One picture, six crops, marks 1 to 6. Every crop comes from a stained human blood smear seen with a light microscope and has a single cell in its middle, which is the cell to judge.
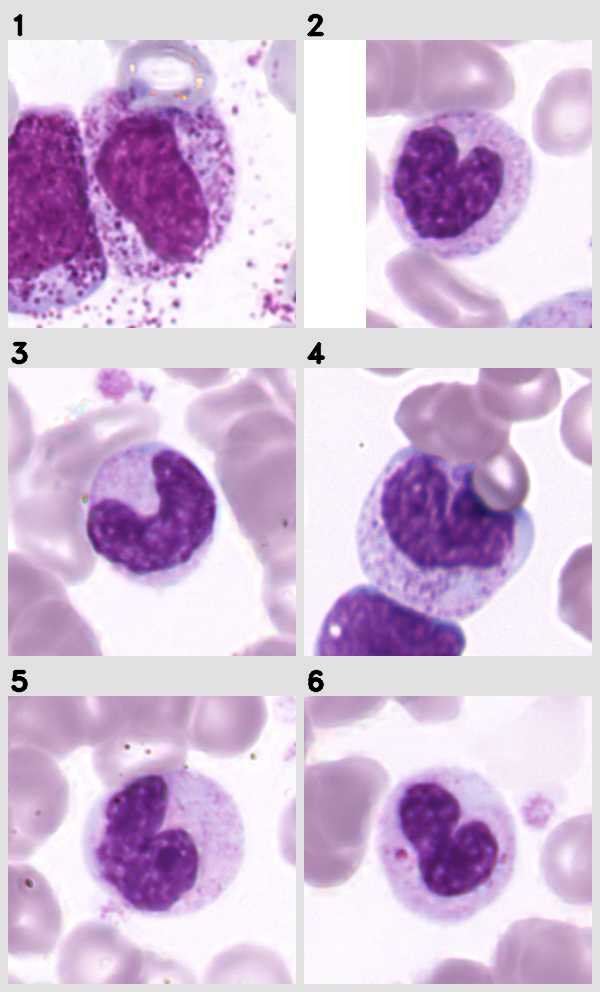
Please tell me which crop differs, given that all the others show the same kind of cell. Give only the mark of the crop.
4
